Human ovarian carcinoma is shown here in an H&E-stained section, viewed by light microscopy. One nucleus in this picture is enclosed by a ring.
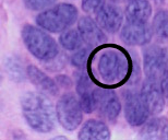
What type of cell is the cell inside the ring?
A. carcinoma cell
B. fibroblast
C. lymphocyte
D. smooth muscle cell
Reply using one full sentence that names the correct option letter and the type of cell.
In this section the cell inside the ring is a carcinoma cell; option A is therefore correct.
